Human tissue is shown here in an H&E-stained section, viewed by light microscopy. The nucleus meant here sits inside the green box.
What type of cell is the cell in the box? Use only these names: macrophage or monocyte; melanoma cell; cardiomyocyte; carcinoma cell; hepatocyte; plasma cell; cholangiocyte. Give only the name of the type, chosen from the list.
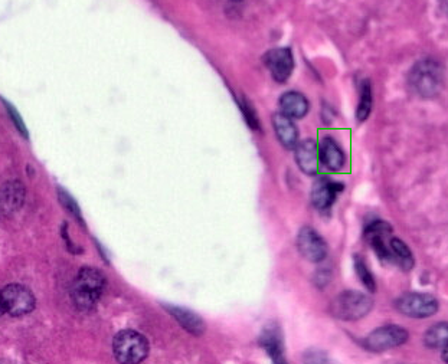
cholangiocyte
